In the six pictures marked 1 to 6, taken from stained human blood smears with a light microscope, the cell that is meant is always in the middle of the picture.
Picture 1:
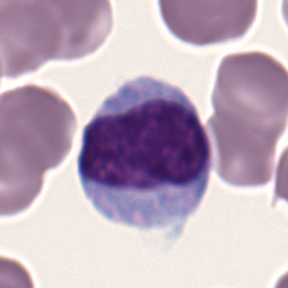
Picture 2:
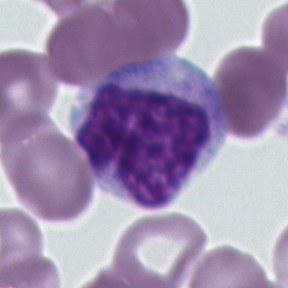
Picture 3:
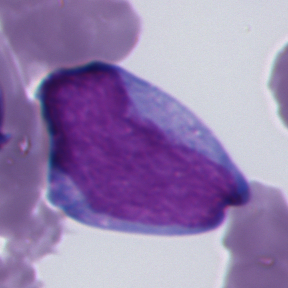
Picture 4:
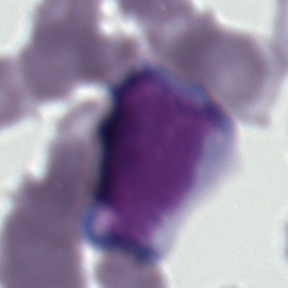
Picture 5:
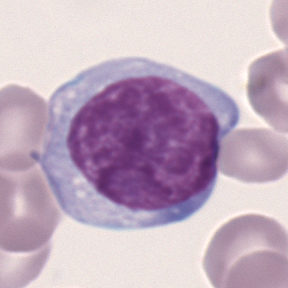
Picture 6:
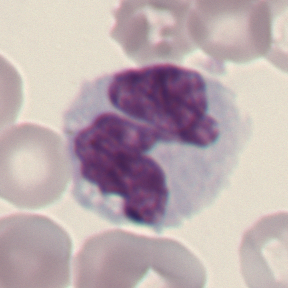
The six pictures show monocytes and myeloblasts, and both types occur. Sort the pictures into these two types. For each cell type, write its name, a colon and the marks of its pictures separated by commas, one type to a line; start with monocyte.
monocyte: 1, 2, 6
myeloblast: 3, 4, 5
